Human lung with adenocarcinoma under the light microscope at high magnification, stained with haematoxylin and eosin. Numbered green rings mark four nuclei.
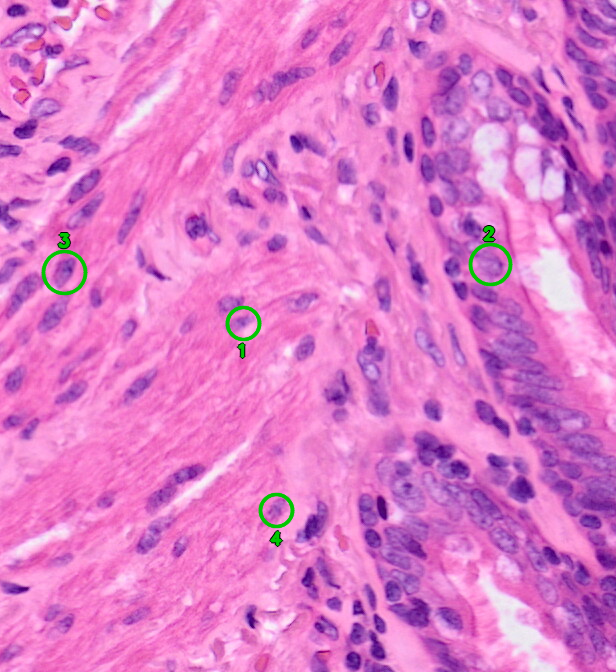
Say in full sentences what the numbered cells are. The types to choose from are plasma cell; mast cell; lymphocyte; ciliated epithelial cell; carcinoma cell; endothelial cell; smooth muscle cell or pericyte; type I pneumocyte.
Cells 1, 3 and 4 are smooth muscle cells or pericytes. Cell 2 is a ciliated epithelial cell.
